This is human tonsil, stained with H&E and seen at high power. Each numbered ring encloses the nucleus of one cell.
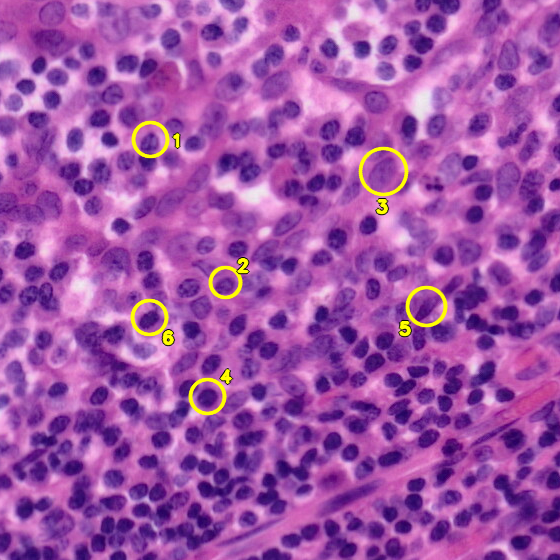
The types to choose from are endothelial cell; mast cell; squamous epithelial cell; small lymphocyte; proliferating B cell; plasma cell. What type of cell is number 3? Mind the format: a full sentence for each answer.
The expected answer is that cell 3 is a squamous epithelial cell.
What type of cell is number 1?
Marked with the number 1, this cell is a plasma cell.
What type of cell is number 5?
The cell to which the number 5 is assigned is a squamous epithelial cell.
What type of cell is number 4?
The cell referenced by the number 4 is a plasma cell in this field.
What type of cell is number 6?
It is as a plasma cell that the cell numbered 6 is identified.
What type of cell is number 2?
The one numbered 2 among the marked cells is a plasma cell.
